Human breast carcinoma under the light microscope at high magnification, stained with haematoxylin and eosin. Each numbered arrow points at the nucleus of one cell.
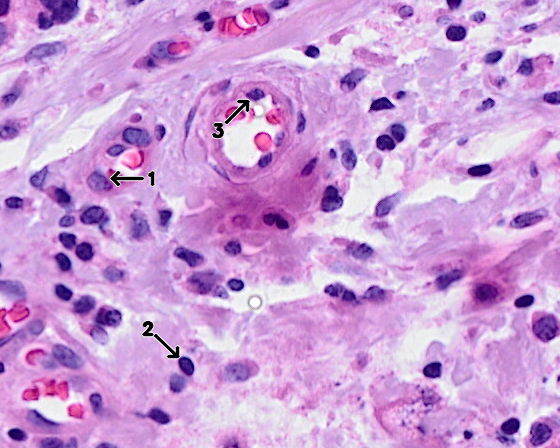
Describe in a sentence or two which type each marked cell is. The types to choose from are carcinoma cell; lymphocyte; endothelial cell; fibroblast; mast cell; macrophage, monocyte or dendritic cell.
Cells 1 and 3 are endothelial cells. Cell 2 is a lymphocyte.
